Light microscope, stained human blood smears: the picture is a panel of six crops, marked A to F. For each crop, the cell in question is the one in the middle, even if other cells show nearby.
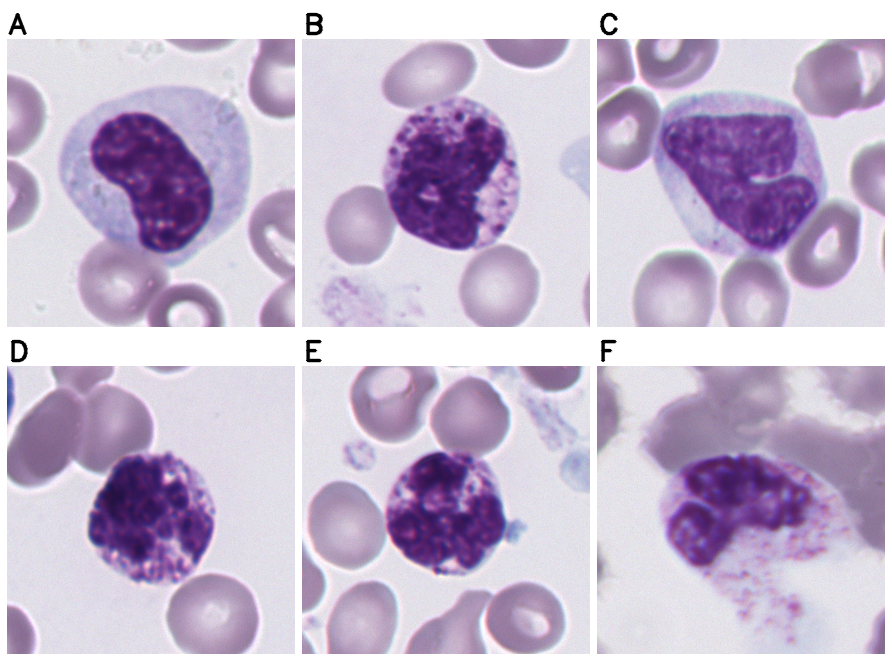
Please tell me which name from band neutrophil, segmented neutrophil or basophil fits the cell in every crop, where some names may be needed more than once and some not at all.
A: band neutrophil
B: basophil
C: band neutrophil
D: basophil
E: basophil
F: segmented neutrophil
